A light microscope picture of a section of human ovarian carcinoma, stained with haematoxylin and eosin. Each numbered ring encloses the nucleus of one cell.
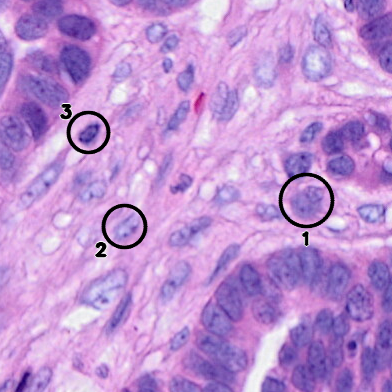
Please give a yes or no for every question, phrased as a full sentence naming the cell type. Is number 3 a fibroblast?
No, cell 3 is not a fibroblast. It is a lymphocyte.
